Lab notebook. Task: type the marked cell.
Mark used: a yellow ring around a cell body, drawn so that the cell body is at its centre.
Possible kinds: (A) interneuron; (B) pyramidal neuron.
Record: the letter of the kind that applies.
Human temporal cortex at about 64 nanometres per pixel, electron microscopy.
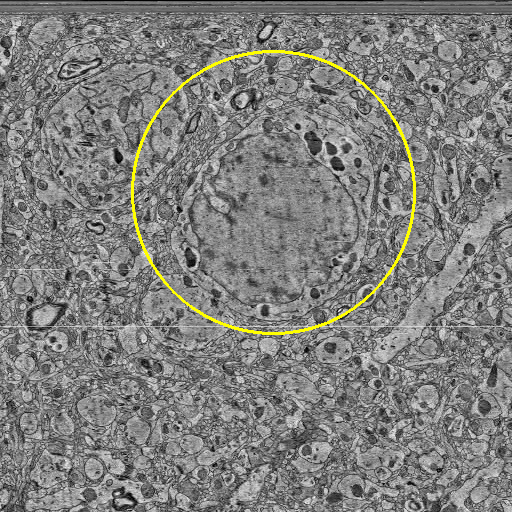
A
